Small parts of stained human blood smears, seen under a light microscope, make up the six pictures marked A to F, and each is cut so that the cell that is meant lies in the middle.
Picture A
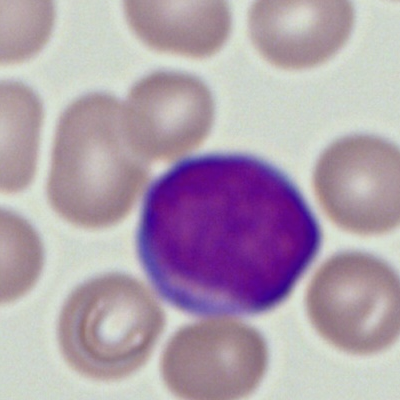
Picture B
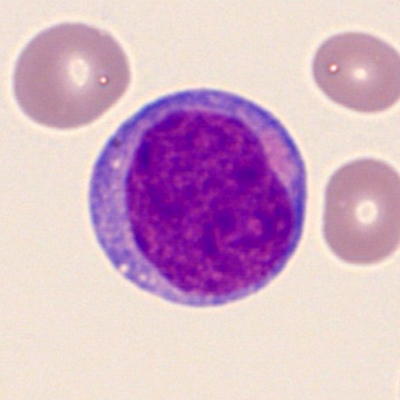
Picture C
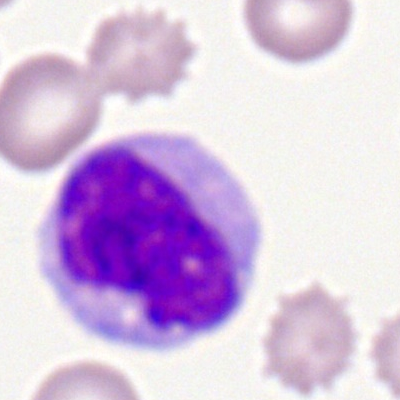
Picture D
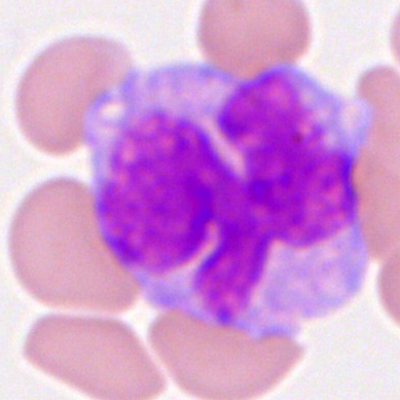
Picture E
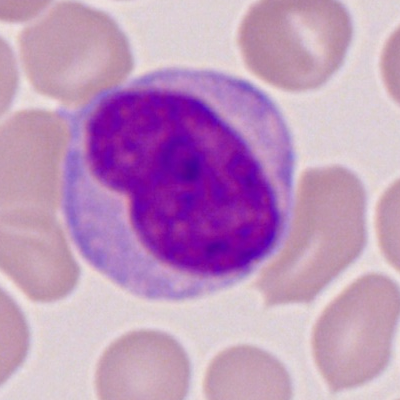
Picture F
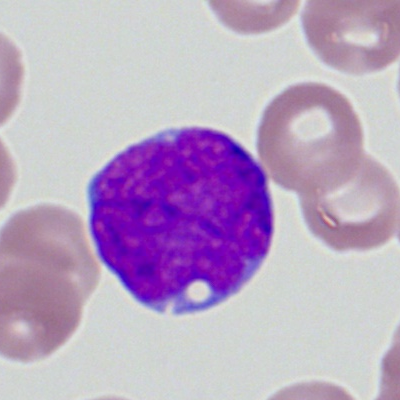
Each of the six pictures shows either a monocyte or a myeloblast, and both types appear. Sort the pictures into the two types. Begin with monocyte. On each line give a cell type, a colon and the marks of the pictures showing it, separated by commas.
monocyte: C, D, E
myeloblast: A, B, F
